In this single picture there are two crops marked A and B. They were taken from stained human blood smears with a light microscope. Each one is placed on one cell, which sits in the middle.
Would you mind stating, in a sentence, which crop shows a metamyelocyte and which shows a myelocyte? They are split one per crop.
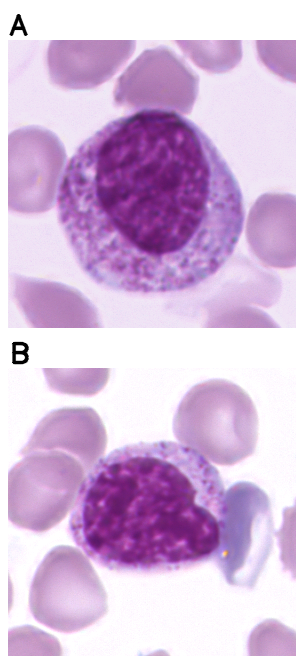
In crop A there is a myelocyte, and in crop B there is a metamyelocyte.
